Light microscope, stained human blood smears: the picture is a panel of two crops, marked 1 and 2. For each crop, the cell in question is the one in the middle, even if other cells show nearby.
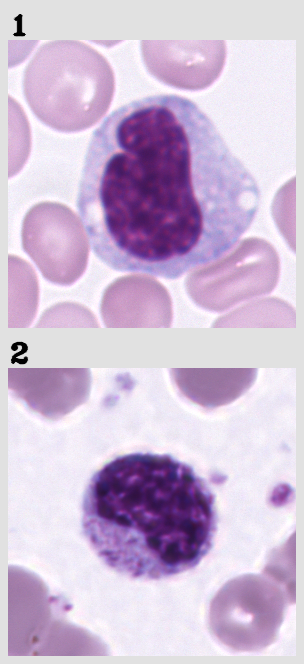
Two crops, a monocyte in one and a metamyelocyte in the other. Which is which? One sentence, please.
Crop 1 contains a monocyte, and crop 2 contains a metamyelocyte.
